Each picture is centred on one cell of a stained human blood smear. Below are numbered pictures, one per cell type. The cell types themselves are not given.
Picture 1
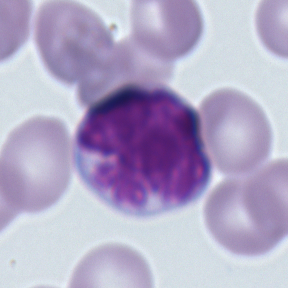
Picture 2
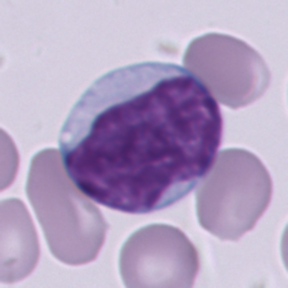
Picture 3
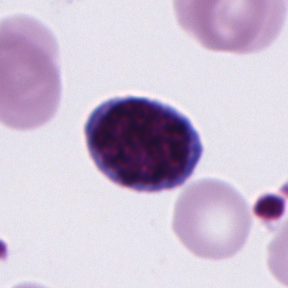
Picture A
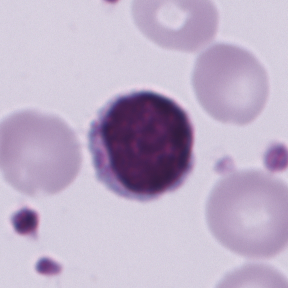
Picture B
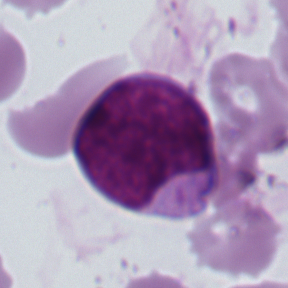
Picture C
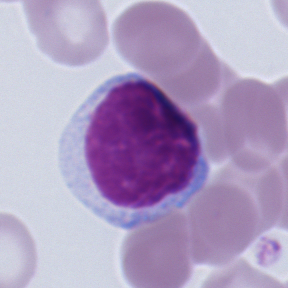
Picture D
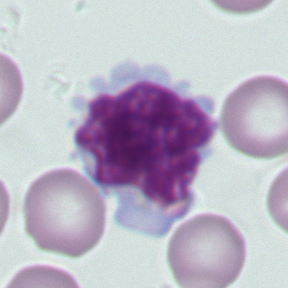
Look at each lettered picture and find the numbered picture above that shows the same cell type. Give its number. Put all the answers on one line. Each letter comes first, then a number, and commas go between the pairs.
A 1, B 2, C 1, D 3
